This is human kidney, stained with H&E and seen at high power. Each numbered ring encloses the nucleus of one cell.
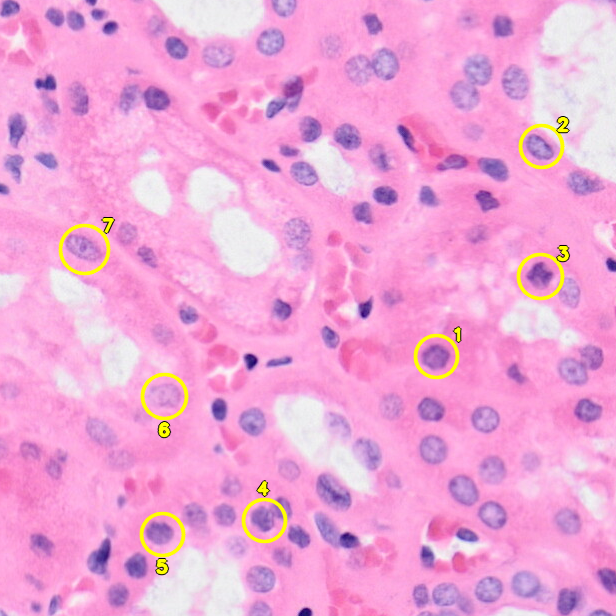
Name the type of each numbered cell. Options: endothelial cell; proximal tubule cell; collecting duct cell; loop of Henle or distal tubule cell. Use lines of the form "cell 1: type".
cell 1: proximal tubule cell
cell 2: loop of Henle or distal tubule cell
cell 3: proximal tubule cell
cell 4: loop of Henle or distal tubule cell
cell 5: loop of Henle or distal tubule cell
cell 6: proximal tubule cell
cell 7: proximal tubule cell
